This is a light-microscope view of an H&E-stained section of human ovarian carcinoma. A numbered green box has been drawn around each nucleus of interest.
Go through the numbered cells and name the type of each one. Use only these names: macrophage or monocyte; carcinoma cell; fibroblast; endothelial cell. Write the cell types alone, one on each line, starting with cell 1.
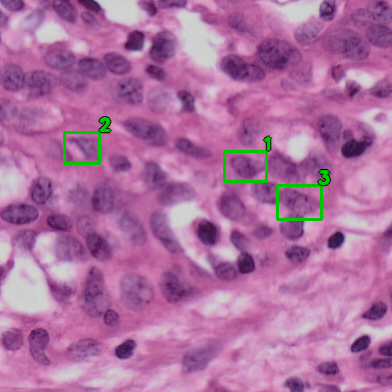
carcinoma cell
endothelial cell
carcinoma cell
